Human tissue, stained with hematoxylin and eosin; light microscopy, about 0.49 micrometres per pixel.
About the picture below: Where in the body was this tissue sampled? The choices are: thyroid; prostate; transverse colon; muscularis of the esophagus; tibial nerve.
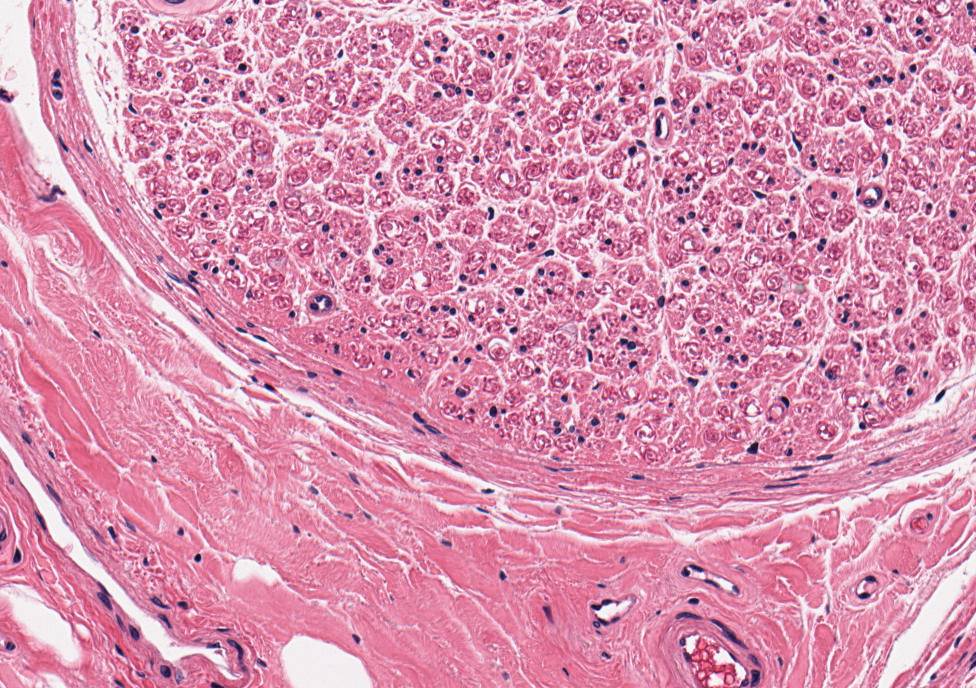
tibial nerve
